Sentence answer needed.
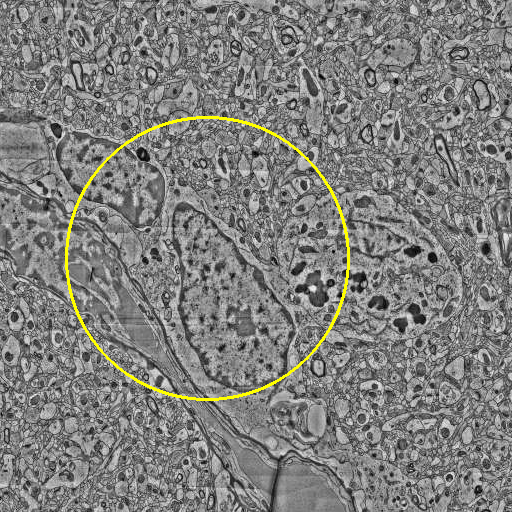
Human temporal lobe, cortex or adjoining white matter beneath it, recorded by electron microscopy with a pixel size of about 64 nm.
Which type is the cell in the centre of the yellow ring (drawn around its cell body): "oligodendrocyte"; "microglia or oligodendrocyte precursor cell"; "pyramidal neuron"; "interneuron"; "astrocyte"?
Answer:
In the centre of the yellow ring is a microglial cell or oligodendrocyte precursor cell.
